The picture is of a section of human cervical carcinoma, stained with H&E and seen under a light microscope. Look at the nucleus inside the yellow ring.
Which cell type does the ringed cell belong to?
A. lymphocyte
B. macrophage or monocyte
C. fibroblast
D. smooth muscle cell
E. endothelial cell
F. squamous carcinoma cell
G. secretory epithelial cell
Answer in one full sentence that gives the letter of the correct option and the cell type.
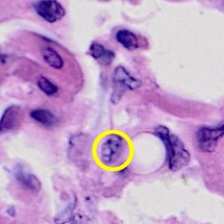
In short, option B: the ringed cell is a macrophage or monocyte.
